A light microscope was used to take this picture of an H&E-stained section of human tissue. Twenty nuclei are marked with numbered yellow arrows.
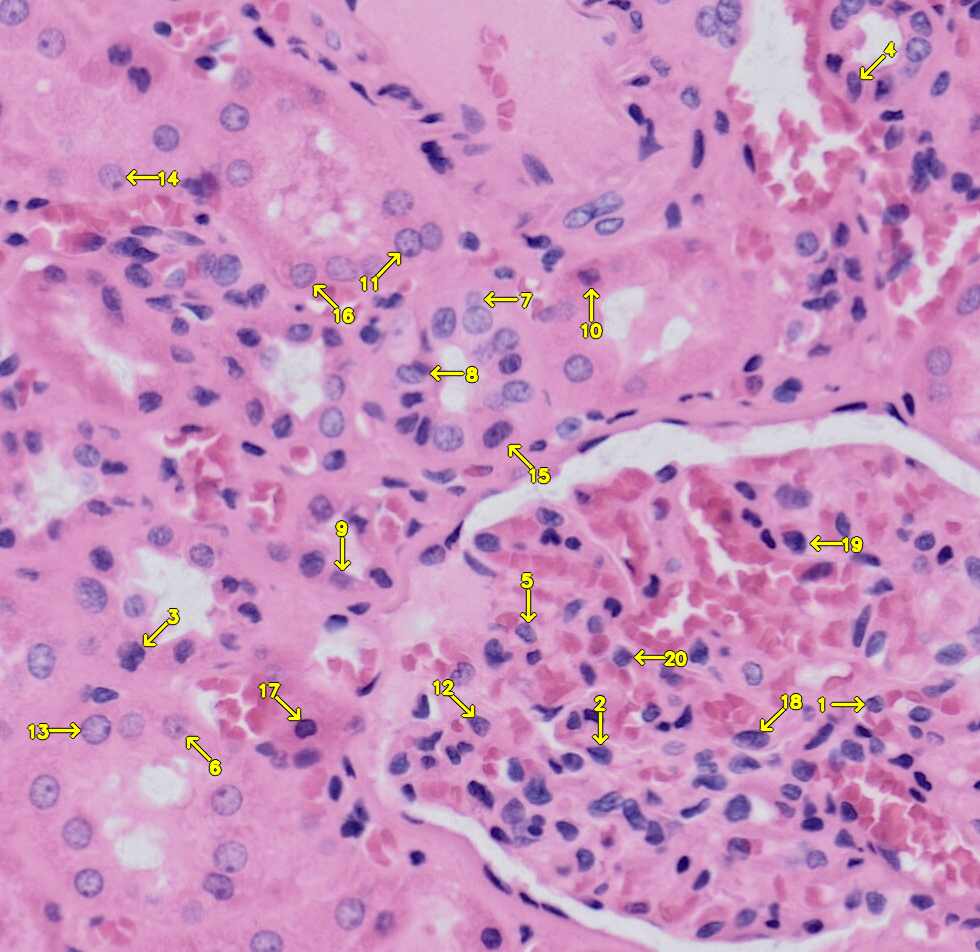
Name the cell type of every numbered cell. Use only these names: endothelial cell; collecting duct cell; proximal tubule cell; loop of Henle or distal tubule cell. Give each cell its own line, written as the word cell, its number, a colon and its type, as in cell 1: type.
cell 1: endothelial cell
cell 2: endothelial cell
cell 3: loop of Henle or distal tubule cell
cell 4: collecting duct cell
cell 5: endothelial cell
cell 6: proximal tubule cell
cell 7: collecting duct cell
cell 8: collecting duct cell
cell 9: loop of Henle or distal tubule cell
cell 10: proximal tubule cell
cell 11: proximal tubule cell
cell 12: endothelial cell
cell 13: proximal tubule cell
cell 14: proximal tubule cell
cell 15: collecting duct cell
cell 16: proximal tubule cell
cell 17: proximal tubule cell
cell 18: endothelial cell
cell 19: endothelial cell
cell 20: endothelial cell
